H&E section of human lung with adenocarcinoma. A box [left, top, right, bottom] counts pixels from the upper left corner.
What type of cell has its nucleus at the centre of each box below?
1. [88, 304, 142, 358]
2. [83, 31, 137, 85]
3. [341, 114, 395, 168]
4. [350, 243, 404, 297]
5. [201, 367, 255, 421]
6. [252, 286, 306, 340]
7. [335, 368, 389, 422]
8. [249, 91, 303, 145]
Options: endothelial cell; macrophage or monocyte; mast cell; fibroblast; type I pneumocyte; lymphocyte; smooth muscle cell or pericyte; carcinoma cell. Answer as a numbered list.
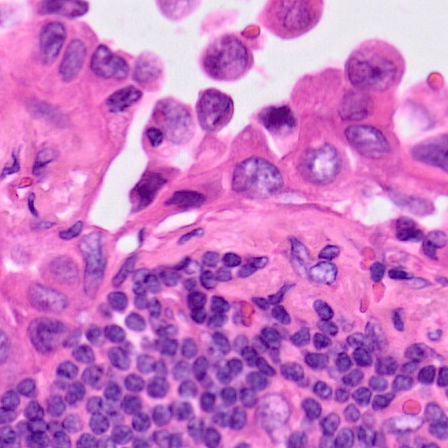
1. lymphocyte
2. carcinoma cell
3. carcinoma cell
4. lymphocyte
5. lymphocyte
6. lymphocyte
7. lymphocyte
8. carcinoma cell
